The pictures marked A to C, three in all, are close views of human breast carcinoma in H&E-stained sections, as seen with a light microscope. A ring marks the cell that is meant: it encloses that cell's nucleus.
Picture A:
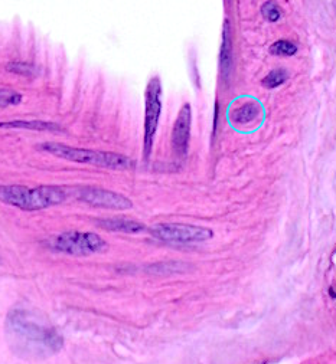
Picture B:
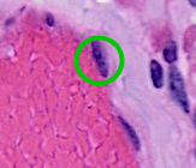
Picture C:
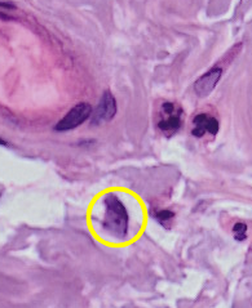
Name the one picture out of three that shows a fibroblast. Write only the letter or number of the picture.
C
